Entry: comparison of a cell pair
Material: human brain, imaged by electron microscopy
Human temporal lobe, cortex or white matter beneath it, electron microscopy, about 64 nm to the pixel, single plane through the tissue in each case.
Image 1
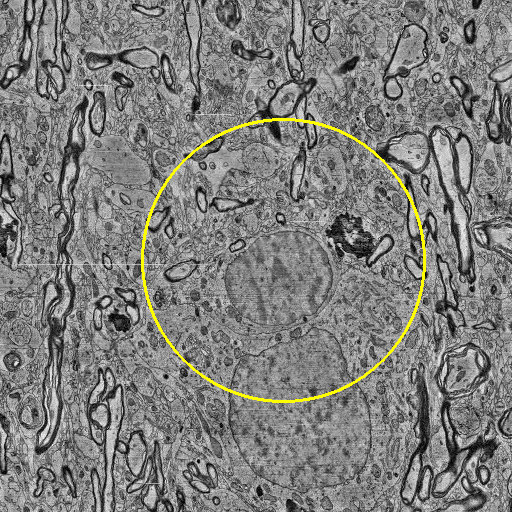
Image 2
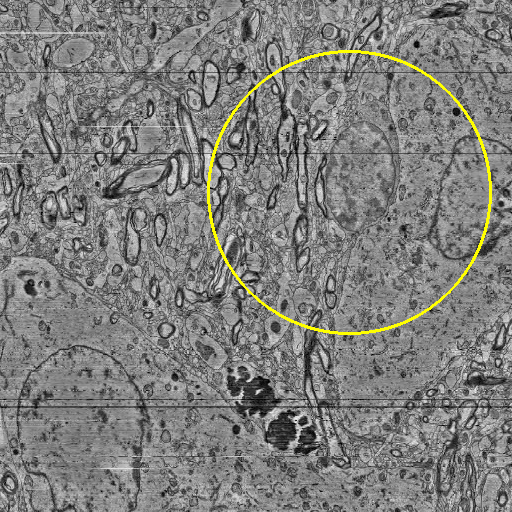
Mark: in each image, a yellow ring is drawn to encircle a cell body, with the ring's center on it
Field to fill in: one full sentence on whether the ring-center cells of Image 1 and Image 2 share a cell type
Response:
Yes, Image 1 and Image 2 each show a ring-center cell of one shared type.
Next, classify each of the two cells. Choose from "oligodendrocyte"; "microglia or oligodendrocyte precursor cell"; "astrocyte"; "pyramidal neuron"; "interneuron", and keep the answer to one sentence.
The second cell is an oligodendrocyte, just as the first is.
